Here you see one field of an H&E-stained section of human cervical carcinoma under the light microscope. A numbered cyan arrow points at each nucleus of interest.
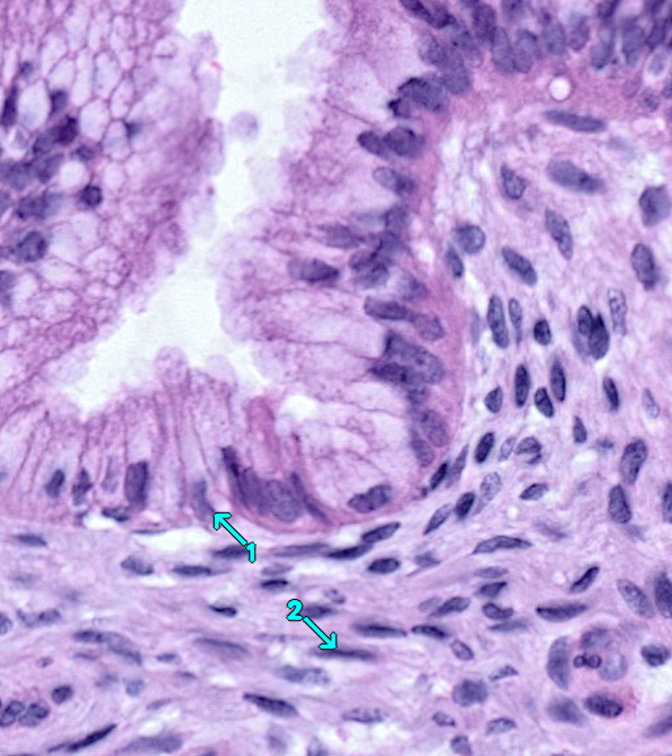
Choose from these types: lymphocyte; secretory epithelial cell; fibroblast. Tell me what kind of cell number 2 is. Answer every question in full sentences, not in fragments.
The cell assigned the number 2 is a fibroblast.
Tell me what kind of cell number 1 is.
Cell 1 is classified as a secretory epithelial cell.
